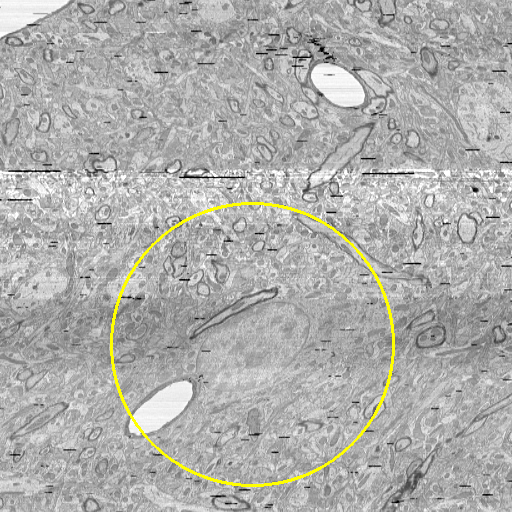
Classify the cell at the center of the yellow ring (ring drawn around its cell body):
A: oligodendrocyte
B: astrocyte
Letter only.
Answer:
A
